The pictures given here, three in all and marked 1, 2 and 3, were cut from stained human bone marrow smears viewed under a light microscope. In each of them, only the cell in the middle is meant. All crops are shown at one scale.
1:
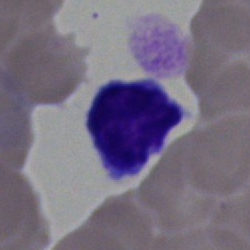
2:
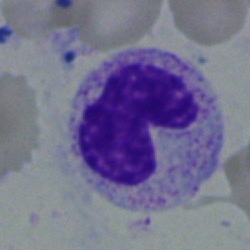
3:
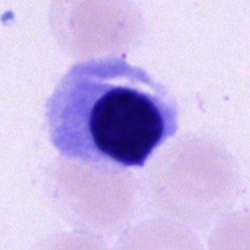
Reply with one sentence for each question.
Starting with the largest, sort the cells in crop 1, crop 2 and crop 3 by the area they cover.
The order is 2, 3, 1, beginning with the largest.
